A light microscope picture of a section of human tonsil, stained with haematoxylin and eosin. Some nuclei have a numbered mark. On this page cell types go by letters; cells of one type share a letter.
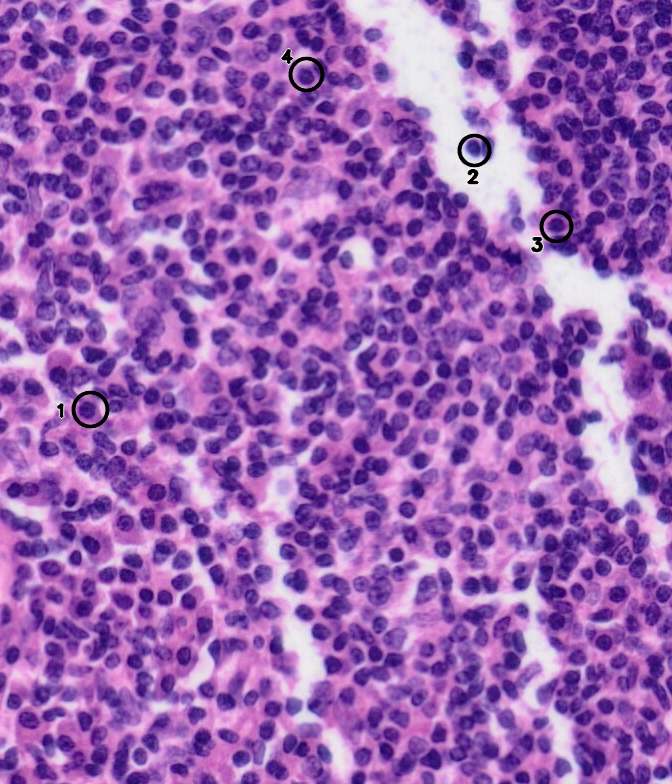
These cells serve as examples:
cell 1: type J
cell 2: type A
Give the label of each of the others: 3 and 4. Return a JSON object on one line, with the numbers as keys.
{"3": "type A", "4": "type A"}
